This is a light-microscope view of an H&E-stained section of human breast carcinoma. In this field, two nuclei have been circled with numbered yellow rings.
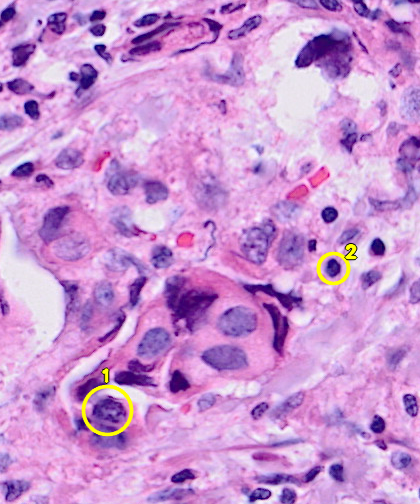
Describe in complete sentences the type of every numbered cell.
Cell 1 is a carcinoma cell and cell 2 is a lymphocyte.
